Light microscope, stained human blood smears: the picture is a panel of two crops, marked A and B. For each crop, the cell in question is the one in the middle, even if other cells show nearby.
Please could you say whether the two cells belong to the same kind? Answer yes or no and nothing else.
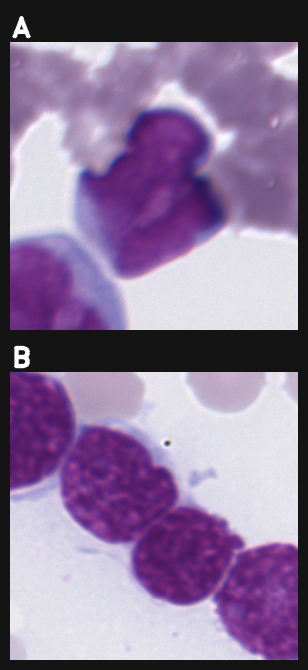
yes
